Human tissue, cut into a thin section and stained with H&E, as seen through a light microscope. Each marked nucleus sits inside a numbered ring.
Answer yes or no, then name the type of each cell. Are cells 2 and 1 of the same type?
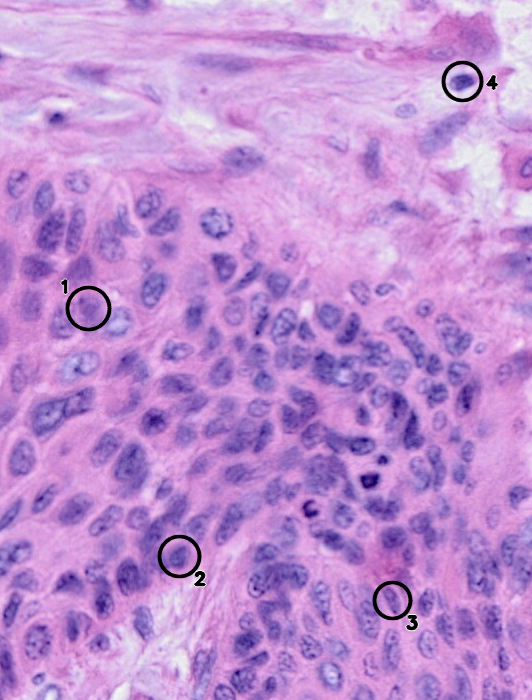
Yes, cell number 2 and cell number 1 are both squamous carcinoma cells.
